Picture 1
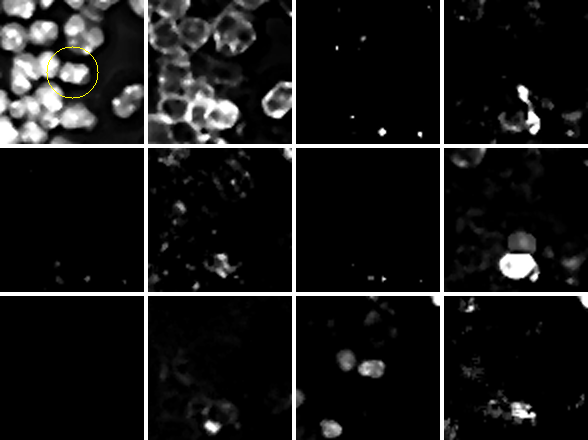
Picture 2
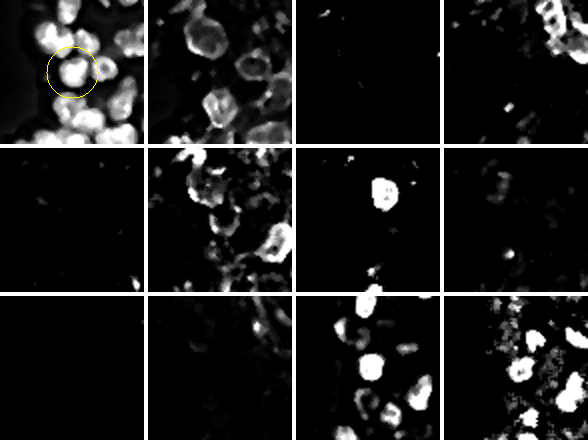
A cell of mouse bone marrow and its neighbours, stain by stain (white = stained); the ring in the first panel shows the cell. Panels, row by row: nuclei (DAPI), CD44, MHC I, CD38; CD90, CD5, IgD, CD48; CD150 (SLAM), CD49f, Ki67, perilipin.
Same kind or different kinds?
Same: erythroblasts.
